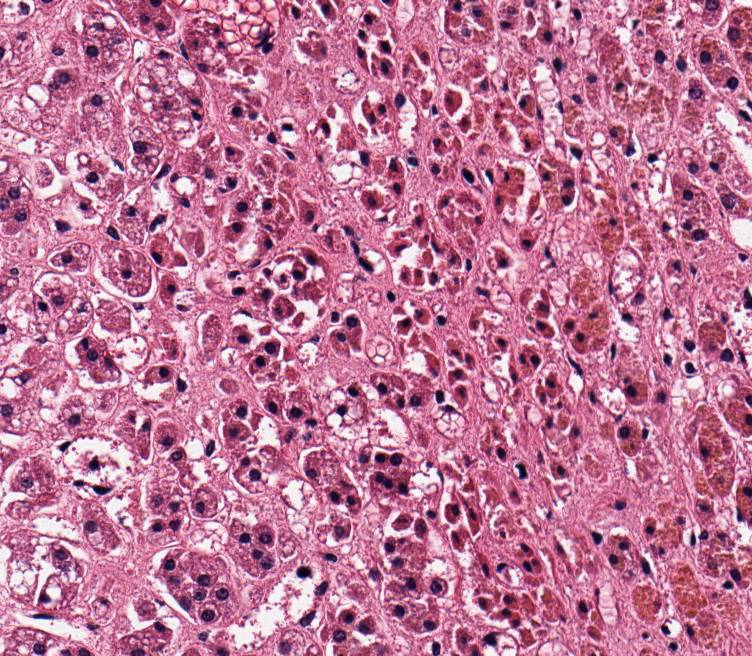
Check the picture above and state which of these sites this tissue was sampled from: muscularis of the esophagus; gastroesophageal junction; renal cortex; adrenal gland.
adrenal gland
